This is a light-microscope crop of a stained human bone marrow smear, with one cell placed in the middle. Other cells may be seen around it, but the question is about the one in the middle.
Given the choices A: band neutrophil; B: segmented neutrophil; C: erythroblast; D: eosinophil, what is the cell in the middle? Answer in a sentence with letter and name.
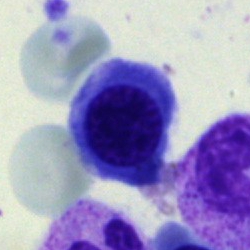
The centrally positioned cell is an erythroblast, consistent with option C, which is correct.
